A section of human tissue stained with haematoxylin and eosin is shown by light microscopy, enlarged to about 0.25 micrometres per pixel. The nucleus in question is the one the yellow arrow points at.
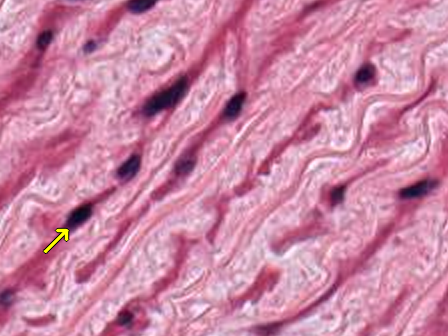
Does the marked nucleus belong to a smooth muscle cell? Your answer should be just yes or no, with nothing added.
yes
